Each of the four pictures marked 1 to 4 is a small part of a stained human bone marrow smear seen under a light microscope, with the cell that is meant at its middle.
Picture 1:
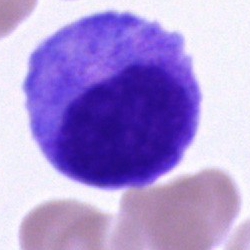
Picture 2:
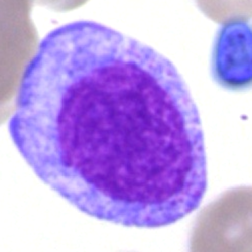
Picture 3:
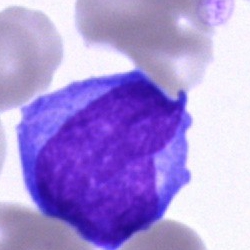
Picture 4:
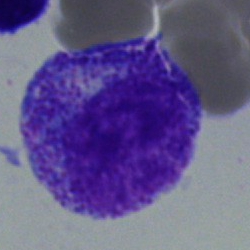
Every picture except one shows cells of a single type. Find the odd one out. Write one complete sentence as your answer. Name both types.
The different one is picture 3; it shows a blast, whereas all the others show promyelocytes.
